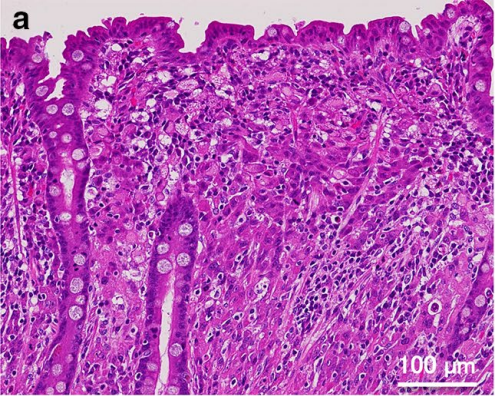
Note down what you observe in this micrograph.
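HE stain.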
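Gastrointestinal mucosa with surface columnar epithelium and glands, the lamina propria between them infiltrated by carcinoma with signet-ring cells. Tall columnar cells with goblet-like clear vacuoles line the surface and the elongated glands. Between the glands the lamina propria is crowded with discohesive single tumour cells. Many of these cells hold a pale or clear cytoplasmic vacuole that pushes the nucleus to one side. The normal loose stroma is largely replaced by these cells.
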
